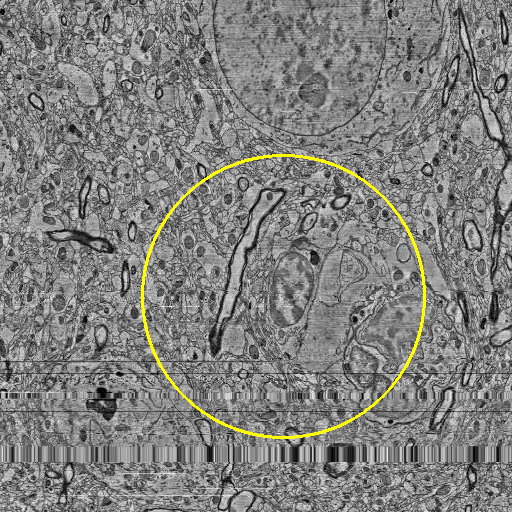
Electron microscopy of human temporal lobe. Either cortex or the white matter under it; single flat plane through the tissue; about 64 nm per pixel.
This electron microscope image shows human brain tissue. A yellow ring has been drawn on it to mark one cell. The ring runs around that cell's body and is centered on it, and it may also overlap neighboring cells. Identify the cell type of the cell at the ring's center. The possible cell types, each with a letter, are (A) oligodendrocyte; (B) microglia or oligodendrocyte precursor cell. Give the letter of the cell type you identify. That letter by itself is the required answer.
B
